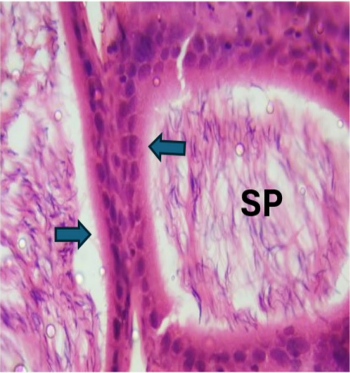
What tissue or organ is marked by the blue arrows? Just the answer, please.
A: columnar epithelial lining of the epididymis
